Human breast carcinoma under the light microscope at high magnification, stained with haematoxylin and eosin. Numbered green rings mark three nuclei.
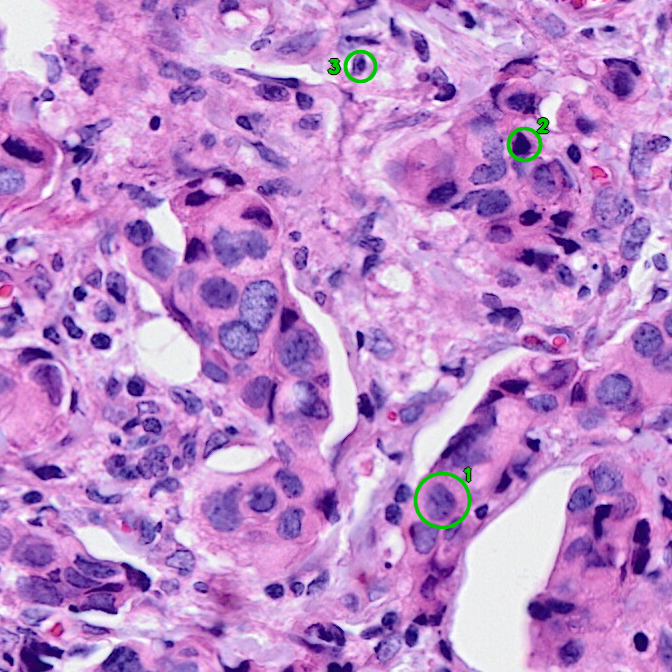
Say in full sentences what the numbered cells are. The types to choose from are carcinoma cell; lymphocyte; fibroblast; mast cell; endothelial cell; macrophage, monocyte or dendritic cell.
Cell 1 is a carcinoma cell, cell 2 is a carcinoma cell and cell 3 is a lymphocyte.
